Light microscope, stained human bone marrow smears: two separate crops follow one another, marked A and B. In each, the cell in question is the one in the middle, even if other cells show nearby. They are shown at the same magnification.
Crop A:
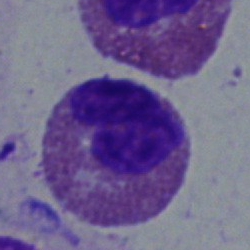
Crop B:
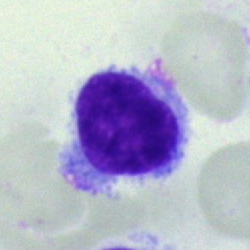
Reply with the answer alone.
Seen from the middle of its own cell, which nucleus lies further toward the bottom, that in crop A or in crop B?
B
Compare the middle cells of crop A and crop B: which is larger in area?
A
